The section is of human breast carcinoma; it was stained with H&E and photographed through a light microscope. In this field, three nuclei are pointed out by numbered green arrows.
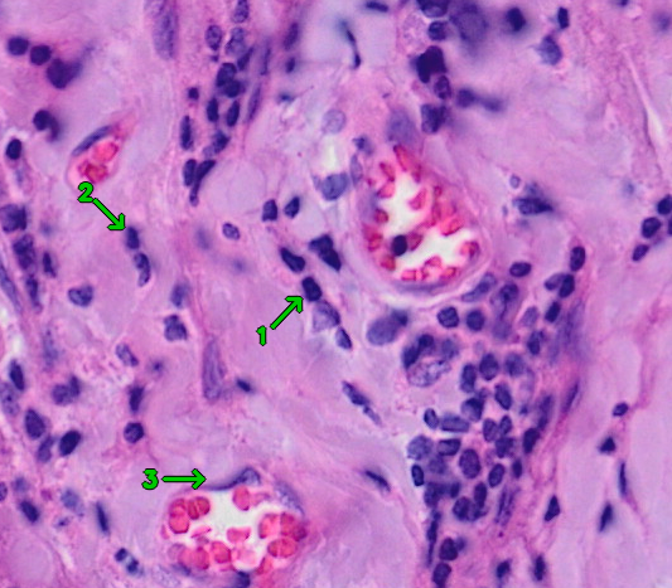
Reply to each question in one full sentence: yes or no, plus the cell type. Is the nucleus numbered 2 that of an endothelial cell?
No, cell 2 should be classed as a lymphocyte, not as an endothelial cell.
